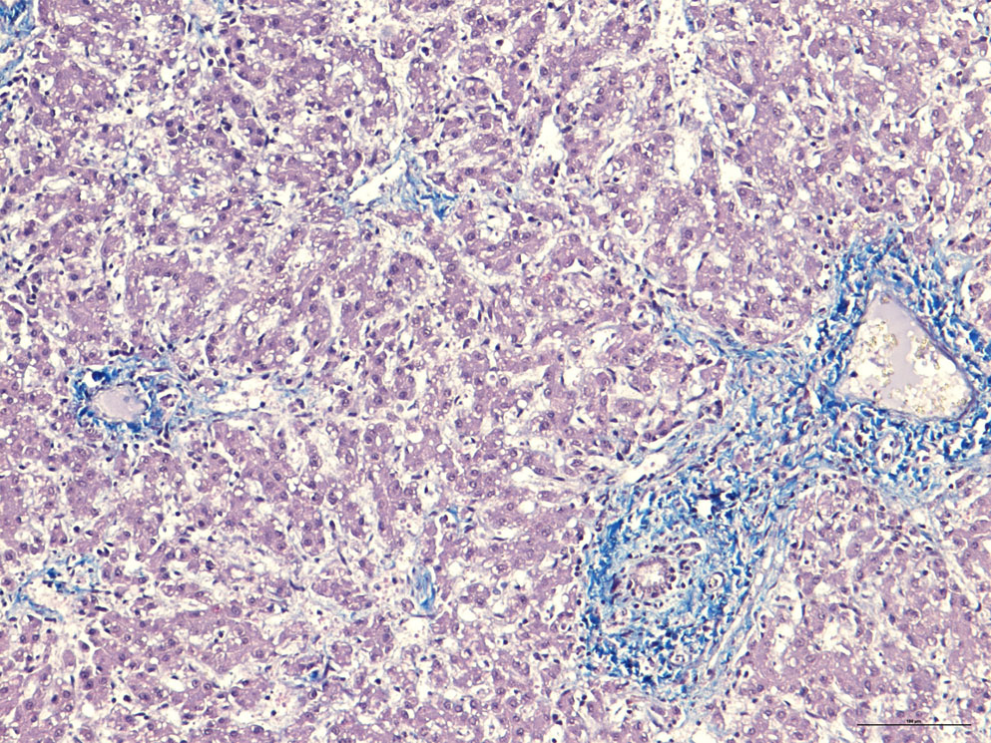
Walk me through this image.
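Liver with cords of pink-purple hepatocytes with round nuclei, separated by many widened pale sinusoids. Portal fields at the right and lower right are surrounded by dense blue fibrous tissue with many dark nuclei, and a small vessel at the left has a thinner blue collar. Thin blue fibrous strands run from these areas into the lobules and between the hepatocyte plates.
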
